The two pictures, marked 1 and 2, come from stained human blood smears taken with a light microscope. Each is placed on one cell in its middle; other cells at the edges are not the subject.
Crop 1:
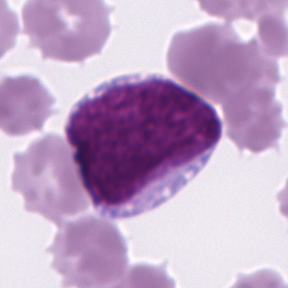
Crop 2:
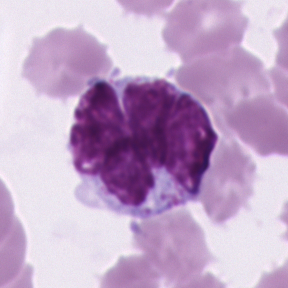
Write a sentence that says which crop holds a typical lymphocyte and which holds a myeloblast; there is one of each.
Whereas crop 1 contains a myeloblast, crop 2 contains a typical lymphocyte.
